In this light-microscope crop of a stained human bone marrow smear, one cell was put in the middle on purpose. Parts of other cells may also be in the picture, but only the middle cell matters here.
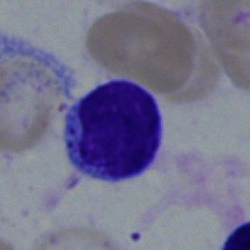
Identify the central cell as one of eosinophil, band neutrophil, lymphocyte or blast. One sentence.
As for the central cell, it is a lymphocyte.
